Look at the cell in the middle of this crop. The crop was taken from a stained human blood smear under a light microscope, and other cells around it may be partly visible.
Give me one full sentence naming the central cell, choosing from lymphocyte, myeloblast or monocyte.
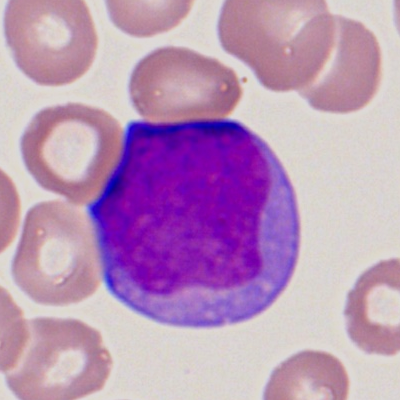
The identification for the central cell is a myeloblast.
